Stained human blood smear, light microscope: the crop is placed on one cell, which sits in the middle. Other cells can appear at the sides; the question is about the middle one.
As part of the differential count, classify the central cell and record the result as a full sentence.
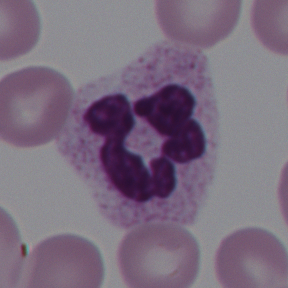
Located at the centre of the crop is a segmented neutrophil.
